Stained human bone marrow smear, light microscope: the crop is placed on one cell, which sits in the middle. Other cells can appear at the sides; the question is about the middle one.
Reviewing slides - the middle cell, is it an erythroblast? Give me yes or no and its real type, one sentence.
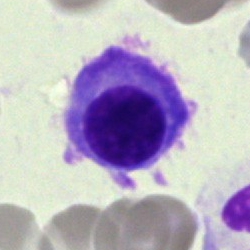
No, the middle cell is not an erythroblast, it being a plasma cell.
